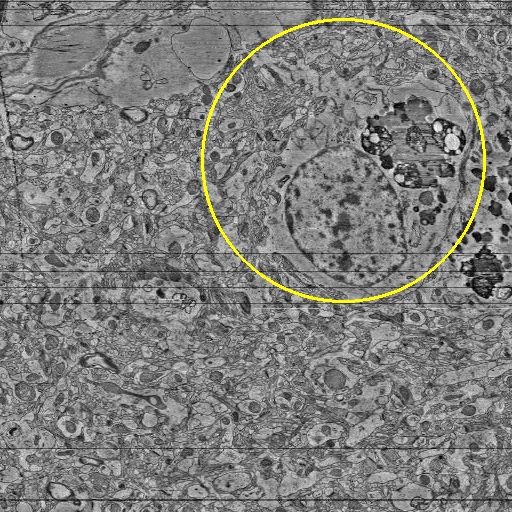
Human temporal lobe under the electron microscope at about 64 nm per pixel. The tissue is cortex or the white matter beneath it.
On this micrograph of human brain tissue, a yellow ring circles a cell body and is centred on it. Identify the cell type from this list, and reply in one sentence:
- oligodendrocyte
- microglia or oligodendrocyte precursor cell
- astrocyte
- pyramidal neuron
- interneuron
The cell at the centre is an astrocyte.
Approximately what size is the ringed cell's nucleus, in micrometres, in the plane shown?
In this plane, the nucleus of the cell at the centre of the ring measures about 9 by 7 micrometres.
